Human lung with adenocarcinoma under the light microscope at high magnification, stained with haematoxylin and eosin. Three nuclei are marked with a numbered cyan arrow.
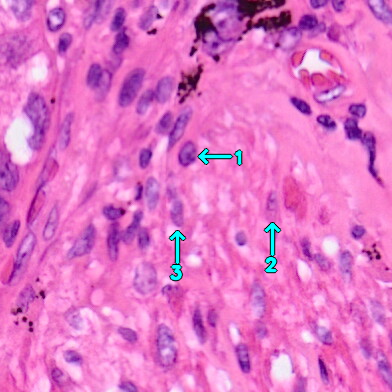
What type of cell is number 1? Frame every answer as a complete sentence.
Number 1 among the marked cells is a mast cell.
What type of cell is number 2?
Cell number 2 in this section is a smooth muscle cell or pericyte.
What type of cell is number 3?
The cell pointed out as number 3 is a smooth muscle cell or pericyte.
